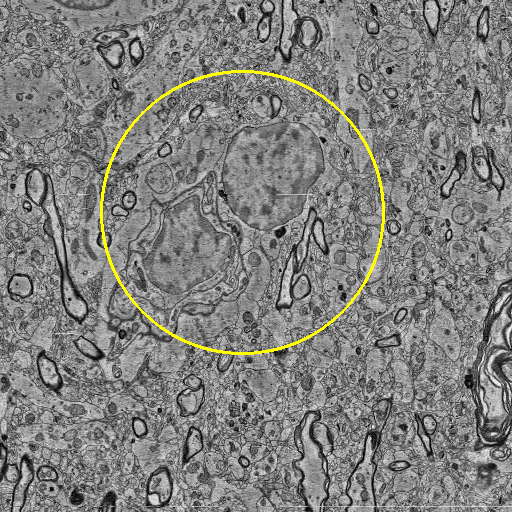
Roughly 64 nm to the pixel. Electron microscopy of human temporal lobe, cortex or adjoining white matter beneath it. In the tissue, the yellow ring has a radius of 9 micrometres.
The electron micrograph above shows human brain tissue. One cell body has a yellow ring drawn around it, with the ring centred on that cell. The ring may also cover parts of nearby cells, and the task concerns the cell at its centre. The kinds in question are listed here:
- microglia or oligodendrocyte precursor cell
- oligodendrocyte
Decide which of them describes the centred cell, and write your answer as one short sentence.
The centred cell is a microglial cell or oligodendrocyte precursor cell.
